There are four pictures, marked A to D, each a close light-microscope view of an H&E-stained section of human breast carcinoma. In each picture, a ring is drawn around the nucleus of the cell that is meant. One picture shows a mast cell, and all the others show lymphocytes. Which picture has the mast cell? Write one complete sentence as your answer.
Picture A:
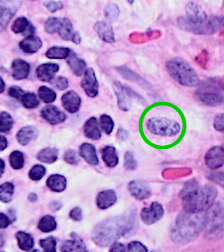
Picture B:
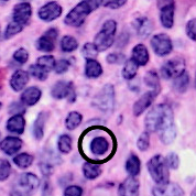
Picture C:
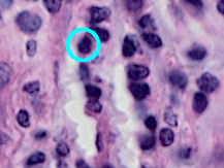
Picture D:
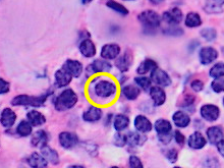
It is picture A that shows the mast cell.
